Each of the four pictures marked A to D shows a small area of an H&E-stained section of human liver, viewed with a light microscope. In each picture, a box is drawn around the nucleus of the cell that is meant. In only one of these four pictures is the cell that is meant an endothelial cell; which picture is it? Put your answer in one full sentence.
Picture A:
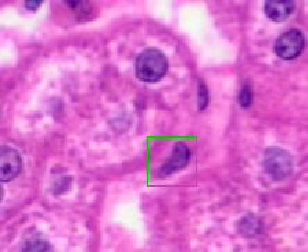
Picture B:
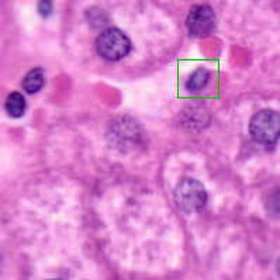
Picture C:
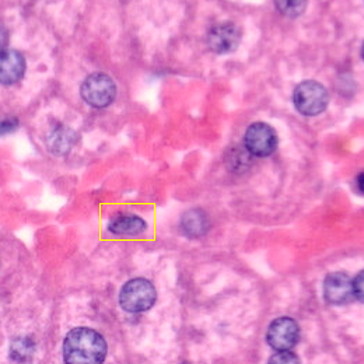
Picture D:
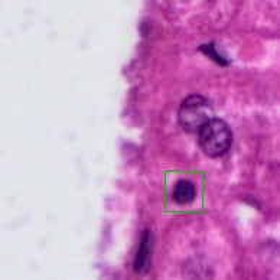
Picture C shows the endothelial cell.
